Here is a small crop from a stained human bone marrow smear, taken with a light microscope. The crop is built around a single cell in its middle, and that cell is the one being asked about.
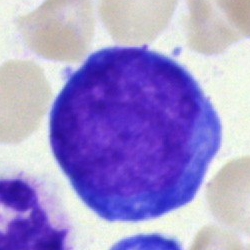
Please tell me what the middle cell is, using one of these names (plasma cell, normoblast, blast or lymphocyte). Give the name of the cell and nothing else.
blast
